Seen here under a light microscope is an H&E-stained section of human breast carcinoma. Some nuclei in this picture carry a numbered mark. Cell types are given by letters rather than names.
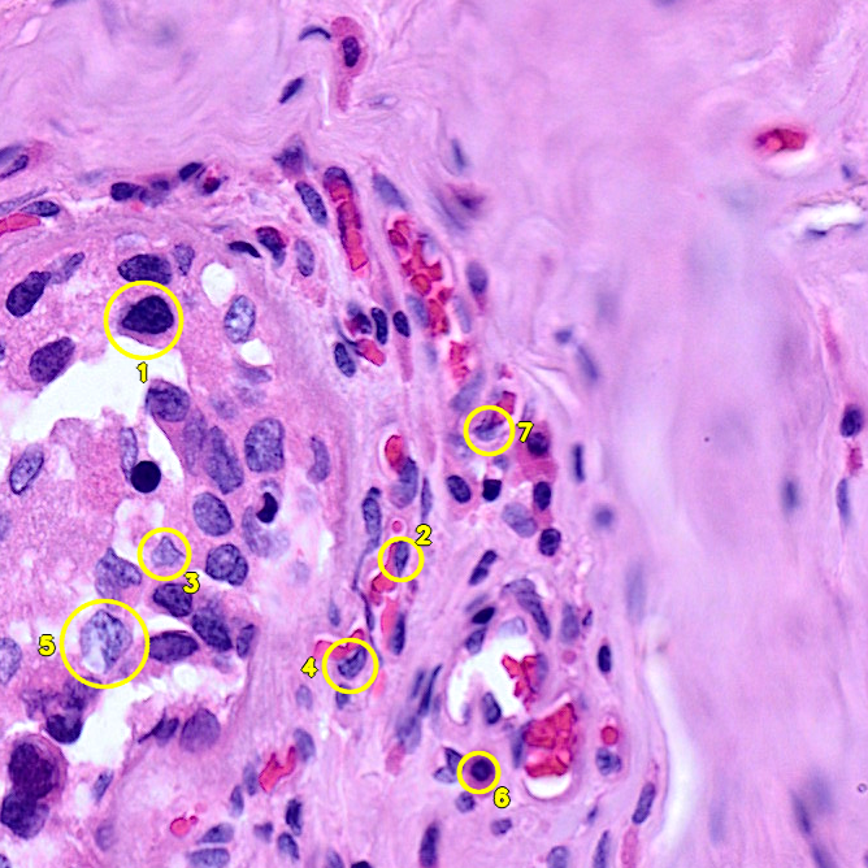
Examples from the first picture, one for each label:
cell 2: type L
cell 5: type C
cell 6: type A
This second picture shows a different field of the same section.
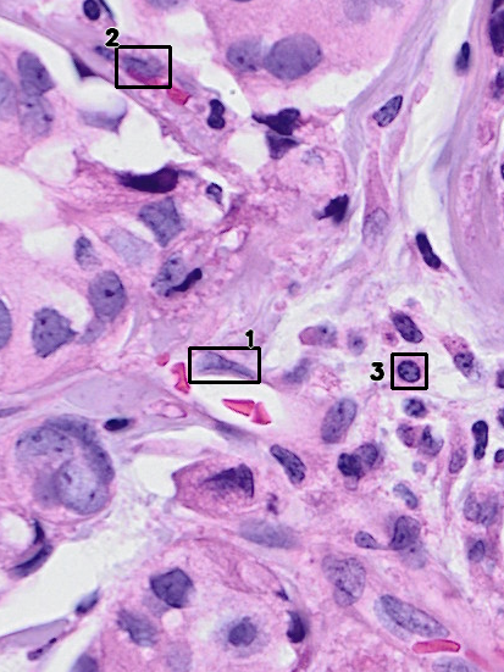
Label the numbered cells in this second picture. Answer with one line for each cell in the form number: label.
1: type L
2: type L
3: type A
